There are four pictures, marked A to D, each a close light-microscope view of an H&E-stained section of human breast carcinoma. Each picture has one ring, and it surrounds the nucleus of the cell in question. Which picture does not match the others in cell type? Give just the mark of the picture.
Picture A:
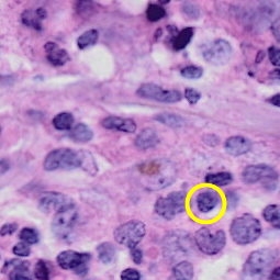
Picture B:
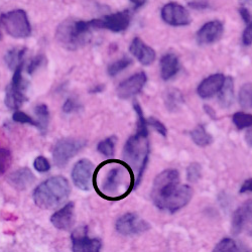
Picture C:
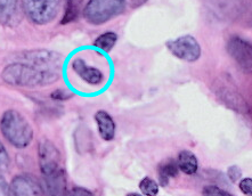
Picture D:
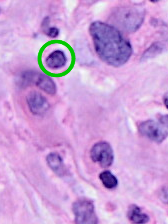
B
